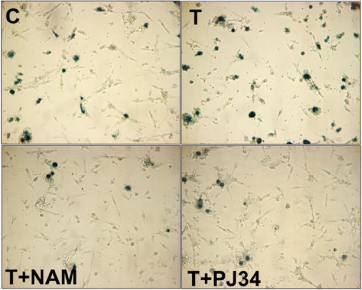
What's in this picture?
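Four fields of a sparse culture show flattened, spread cells with pale cytoplasm and thin, branching processes on a light background. The blue-stained cells stand apart from the many unstained cells in the same field, and their number varies from field to field.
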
